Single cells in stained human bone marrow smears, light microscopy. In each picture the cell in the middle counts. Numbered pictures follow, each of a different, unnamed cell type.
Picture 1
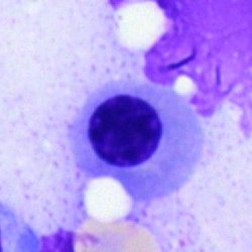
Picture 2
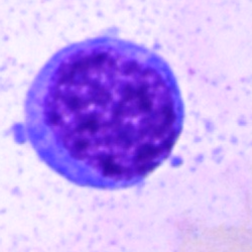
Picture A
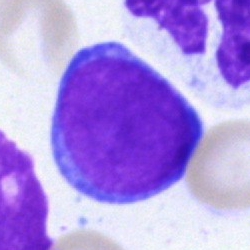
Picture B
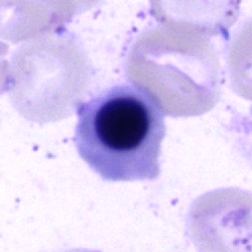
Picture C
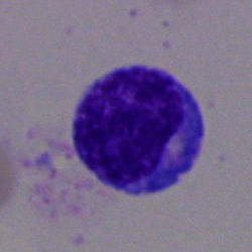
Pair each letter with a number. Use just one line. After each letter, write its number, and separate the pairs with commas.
A 2, B 1, C 2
